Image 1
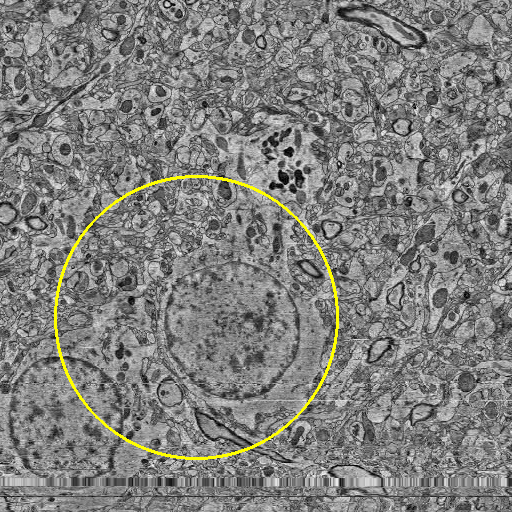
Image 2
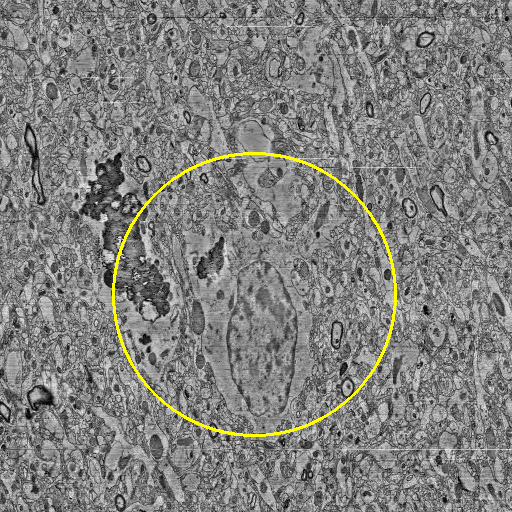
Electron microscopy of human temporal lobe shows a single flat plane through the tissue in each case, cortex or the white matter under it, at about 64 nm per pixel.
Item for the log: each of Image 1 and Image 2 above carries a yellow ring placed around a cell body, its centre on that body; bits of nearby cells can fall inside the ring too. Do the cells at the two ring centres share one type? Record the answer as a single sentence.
Yes, the two cells at the ring centres in Image 1 and Image 2 share one type.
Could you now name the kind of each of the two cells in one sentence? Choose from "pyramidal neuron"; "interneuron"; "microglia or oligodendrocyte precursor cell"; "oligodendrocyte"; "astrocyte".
Each of the two rings surrounds an astrocyte.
